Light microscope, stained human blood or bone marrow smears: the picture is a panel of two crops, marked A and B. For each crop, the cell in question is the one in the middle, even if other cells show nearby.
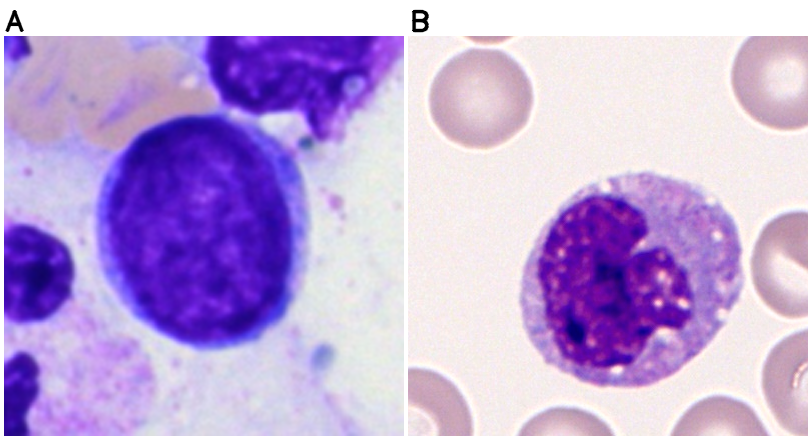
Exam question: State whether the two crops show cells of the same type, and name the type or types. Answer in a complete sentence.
No, crop A shows a blast, and crop B, by contrast, shows a monocyte.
